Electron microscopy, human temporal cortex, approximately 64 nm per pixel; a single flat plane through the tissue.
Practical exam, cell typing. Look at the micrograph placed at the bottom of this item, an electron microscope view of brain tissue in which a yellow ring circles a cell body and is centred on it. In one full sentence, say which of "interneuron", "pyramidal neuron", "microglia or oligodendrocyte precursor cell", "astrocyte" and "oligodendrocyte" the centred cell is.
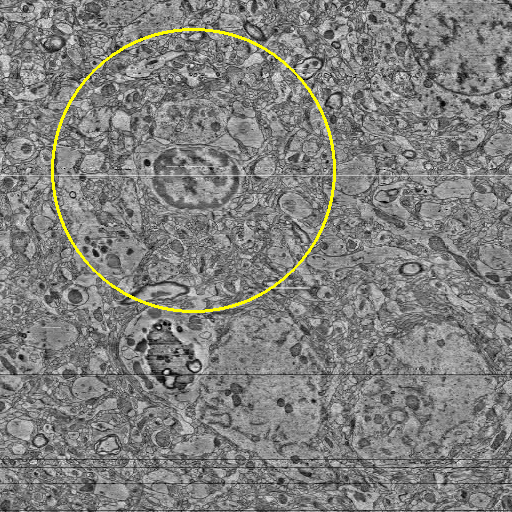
Given the options, a microglial cell or oligodendrocyte precursor cell fits the cell whose body the yellow ring is centred on.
